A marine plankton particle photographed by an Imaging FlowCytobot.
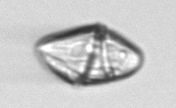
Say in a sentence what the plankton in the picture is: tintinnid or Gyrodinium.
This is Gyrodinium.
